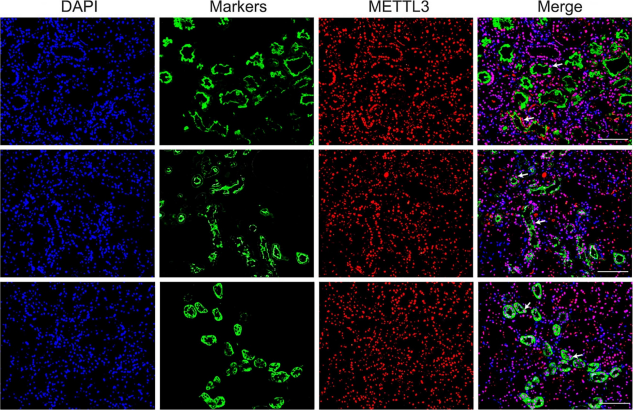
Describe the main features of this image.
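In the blue channel, small round nuclei are scattered densely and fairly evenly across the whole section. In the green channel, bright rings and ovals outline cross-sections of tubules, each with an open central lumen. The number and pattern of these green rings differ from row to row. In the red channel, small dot-like signals sit in positions matching the nuclei and are spread throughout the tissue. In the merged views, red and blue overlap at nuclei, and white arrows point to some nuclei lying within the green-outlined tubules.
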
